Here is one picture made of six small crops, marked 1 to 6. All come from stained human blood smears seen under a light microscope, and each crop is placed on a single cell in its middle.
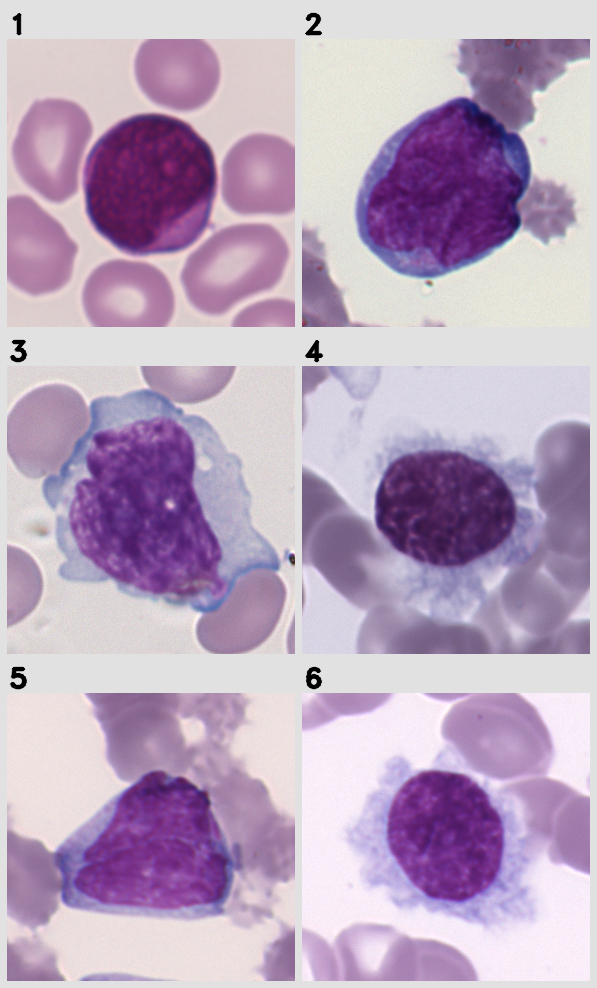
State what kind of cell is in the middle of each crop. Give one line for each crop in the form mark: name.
1: blast
2: blast
3: blast
4: hairy cell
5: blast
6: hairy cell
